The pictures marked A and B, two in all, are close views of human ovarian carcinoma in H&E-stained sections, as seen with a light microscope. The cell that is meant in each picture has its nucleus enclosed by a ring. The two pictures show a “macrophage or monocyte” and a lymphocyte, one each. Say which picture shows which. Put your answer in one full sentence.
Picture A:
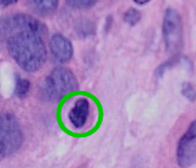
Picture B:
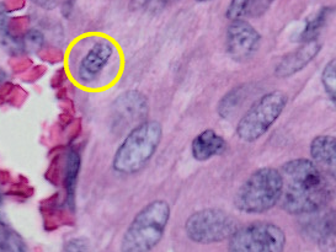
Picture A is of a lymphocyte, and picture B is of a “macrophage or monocyte”.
